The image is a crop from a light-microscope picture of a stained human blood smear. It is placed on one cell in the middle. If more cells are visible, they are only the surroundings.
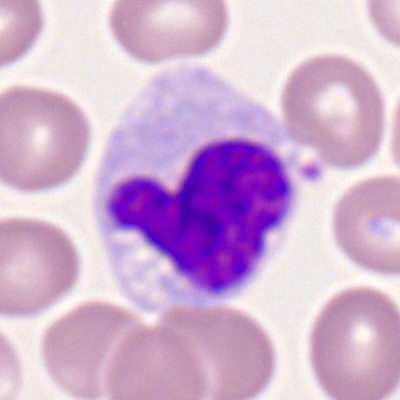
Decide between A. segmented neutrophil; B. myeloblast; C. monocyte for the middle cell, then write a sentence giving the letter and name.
The cell at the centre, correctly named in option C, is a monocyte.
